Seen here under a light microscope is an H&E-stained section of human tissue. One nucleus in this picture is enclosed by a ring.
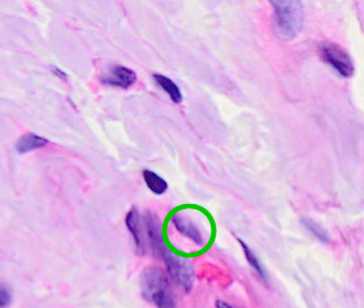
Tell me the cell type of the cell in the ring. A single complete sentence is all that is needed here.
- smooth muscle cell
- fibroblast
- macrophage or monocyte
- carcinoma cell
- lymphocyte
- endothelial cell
The correct response here is that the cell in the ring is an endothelial cell.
